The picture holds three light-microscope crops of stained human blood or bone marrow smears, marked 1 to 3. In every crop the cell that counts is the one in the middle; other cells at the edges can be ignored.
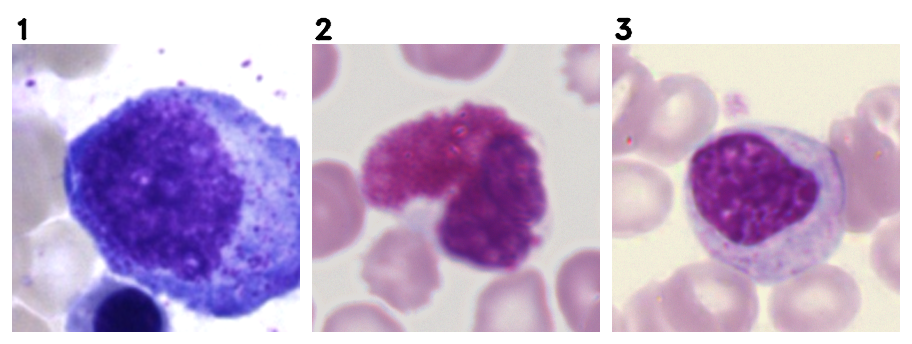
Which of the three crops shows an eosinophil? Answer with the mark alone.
2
